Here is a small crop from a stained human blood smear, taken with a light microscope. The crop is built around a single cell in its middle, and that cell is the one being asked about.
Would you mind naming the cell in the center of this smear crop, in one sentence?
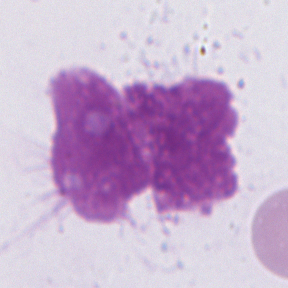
The crop centres on a single cell, and that cell is a smudge cell.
